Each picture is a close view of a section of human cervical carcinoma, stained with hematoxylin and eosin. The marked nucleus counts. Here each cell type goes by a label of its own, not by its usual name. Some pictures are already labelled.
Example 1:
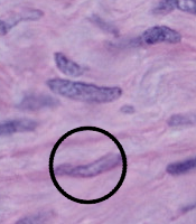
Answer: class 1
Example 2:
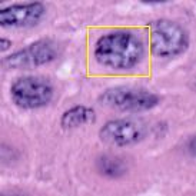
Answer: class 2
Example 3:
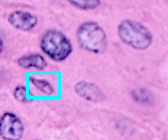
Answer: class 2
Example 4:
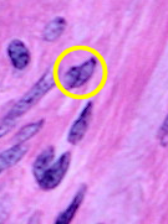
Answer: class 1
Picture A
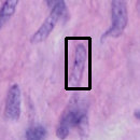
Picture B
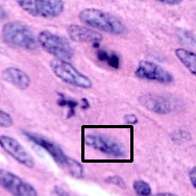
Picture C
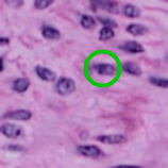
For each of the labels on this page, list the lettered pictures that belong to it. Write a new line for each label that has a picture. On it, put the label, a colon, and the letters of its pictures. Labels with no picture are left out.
class 1: A, C
class 2: B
